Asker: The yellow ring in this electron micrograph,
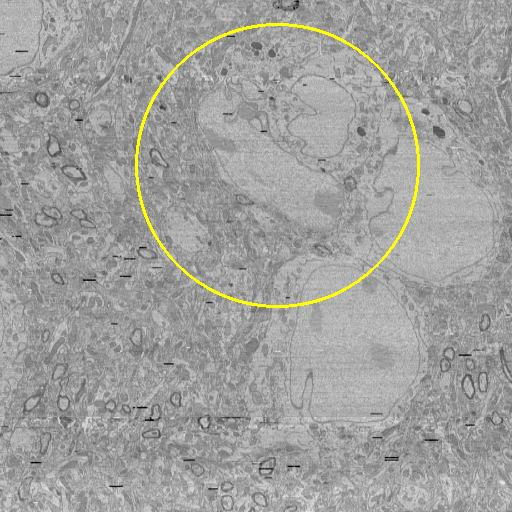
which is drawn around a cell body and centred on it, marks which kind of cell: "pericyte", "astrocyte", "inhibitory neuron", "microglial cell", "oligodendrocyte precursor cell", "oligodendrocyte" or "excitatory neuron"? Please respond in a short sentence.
The marked cell is an oligodendrocyte precursor cell.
